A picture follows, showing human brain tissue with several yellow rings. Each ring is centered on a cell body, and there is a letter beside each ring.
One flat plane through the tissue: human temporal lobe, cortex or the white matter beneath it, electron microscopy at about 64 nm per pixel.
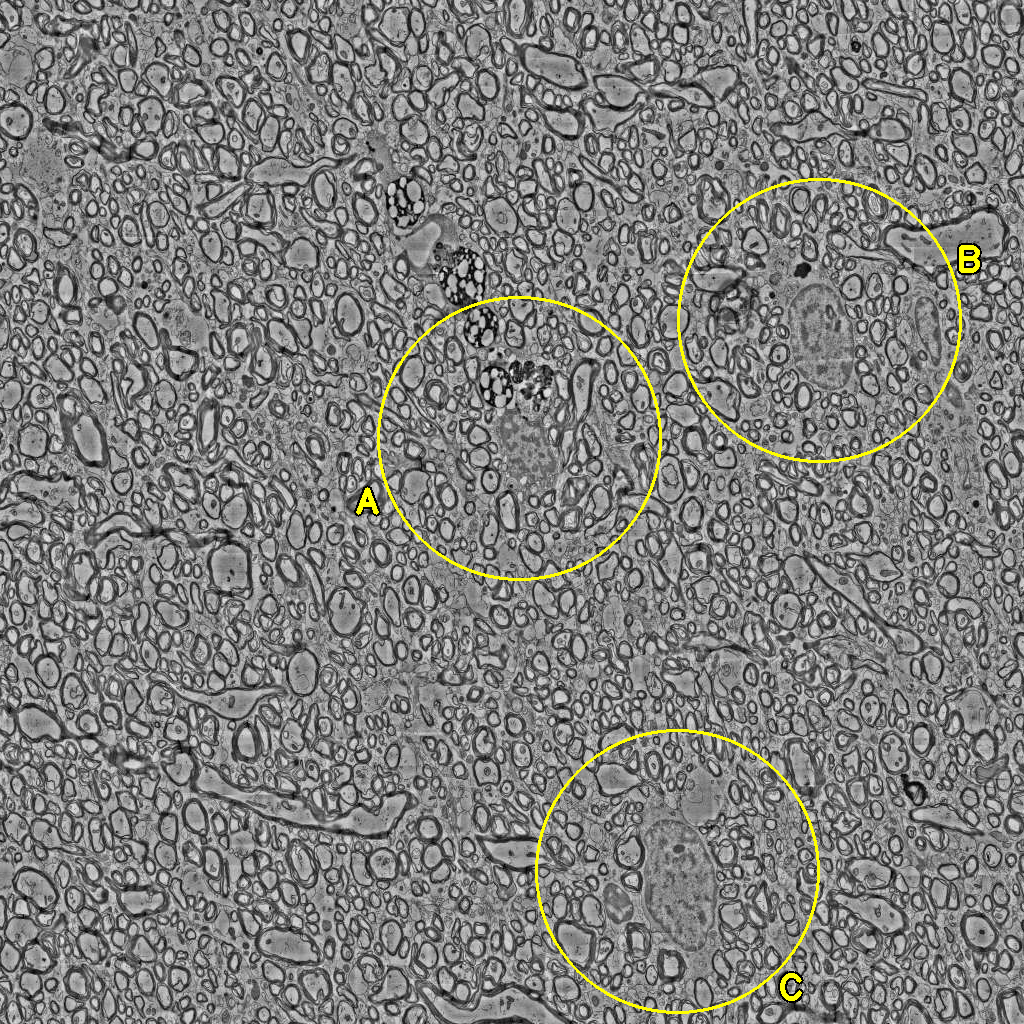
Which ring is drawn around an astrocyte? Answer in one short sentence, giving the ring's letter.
Ring A is drawn around it.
